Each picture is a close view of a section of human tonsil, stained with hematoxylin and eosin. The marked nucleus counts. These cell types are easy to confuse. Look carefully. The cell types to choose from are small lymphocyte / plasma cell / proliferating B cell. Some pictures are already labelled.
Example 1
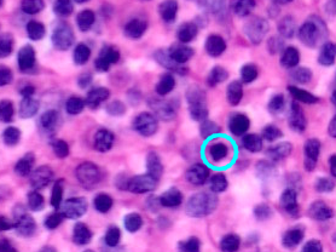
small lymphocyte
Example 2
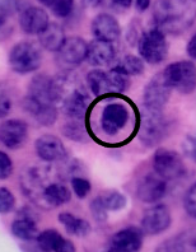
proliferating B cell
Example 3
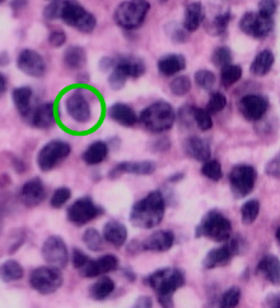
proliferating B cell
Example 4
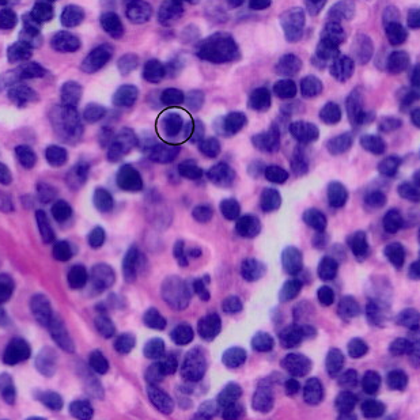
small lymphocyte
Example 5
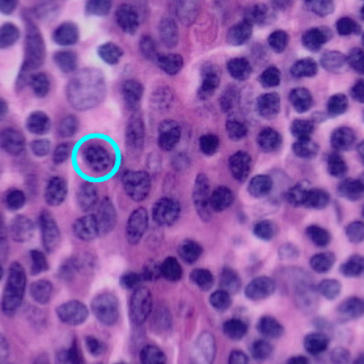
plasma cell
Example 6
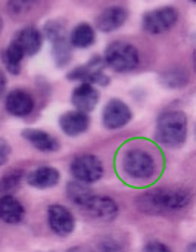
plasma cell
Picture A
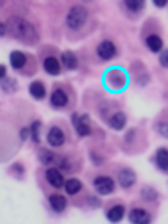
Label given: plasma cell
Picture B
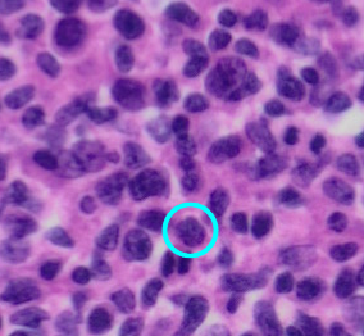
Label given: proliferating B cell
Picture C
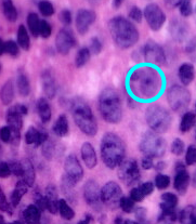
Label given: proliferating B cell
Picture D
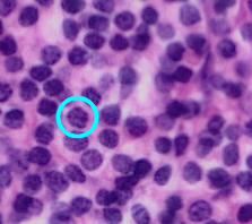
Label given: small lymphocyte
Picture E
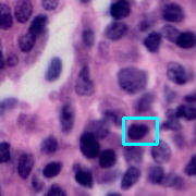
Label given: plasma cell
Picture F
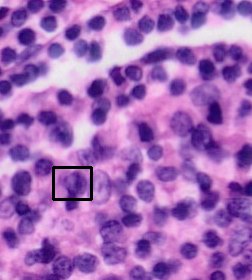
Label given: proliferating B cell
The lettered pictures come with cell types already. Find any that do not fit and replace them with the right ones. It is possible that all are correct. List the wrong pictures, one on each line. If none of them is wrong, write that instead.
Every label is right.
